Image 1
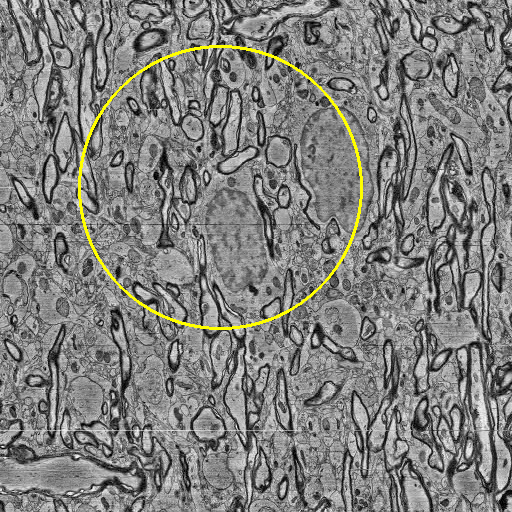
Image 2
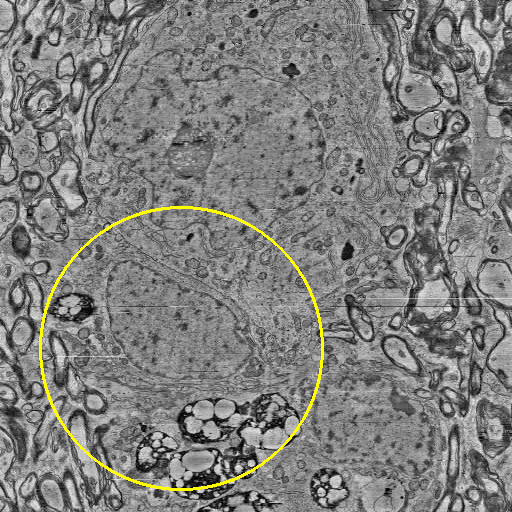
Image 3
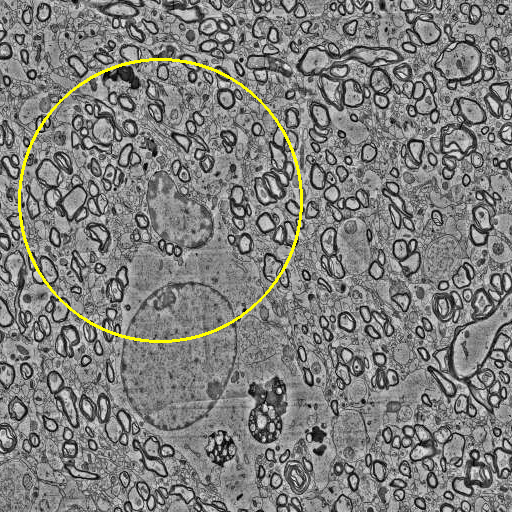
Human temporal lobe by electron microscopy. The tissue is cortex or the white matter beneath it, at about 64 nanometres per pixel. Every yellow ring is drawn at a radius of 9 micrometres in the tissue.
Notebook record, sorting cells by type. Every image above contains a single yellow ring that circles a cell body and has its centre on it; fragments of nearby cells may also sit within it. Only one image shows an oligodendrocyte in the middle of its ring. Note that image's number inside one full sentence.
For image 1, the cell in the middle of its yellow ring is the match.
